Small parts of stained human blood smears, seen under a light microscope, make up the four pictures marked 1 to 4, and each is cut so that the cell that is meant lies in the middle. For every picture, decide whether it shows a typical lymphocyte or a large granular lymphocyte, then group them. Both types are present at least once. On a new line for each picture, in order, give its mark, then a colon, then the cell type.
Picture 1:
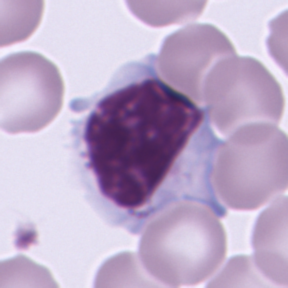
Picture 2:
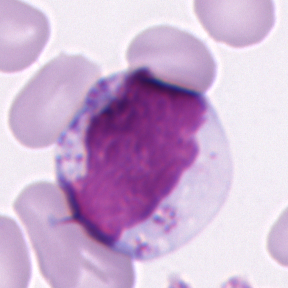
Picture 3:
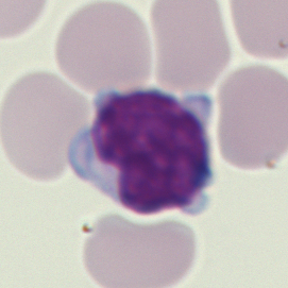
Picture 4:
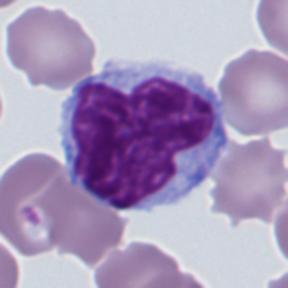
1: large granular lymphocyte
2: large granular lymphocyte
3: typical lymphocyte
4: typical lymphocyte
